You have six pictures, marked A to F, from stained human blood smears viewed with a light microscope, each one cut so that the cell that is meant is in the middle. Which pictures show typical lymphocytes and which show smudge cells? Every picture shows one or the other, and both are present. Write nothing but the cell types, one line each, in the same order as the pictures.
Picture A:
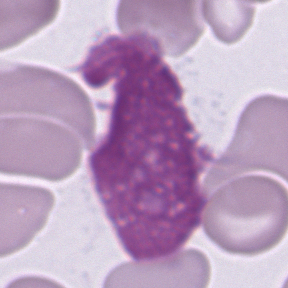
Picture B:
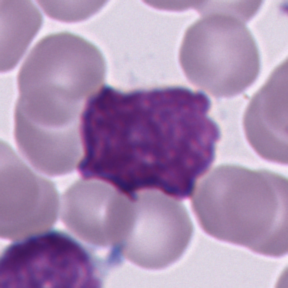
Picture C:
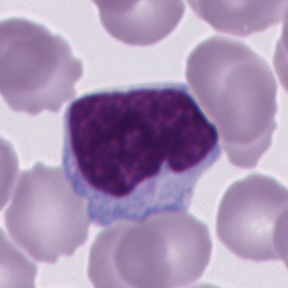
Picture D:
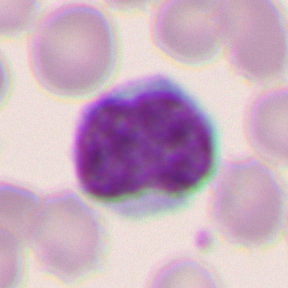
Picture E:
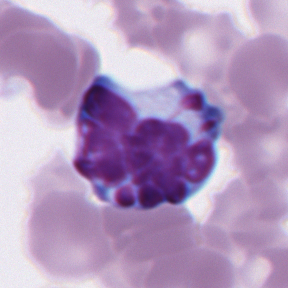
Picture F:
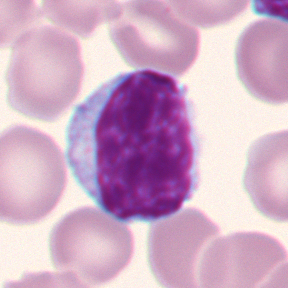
smudge cell
smudge cell
typical lymphocyte
typical lymphocyte
typical lymphocyte
typical lymphocyte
